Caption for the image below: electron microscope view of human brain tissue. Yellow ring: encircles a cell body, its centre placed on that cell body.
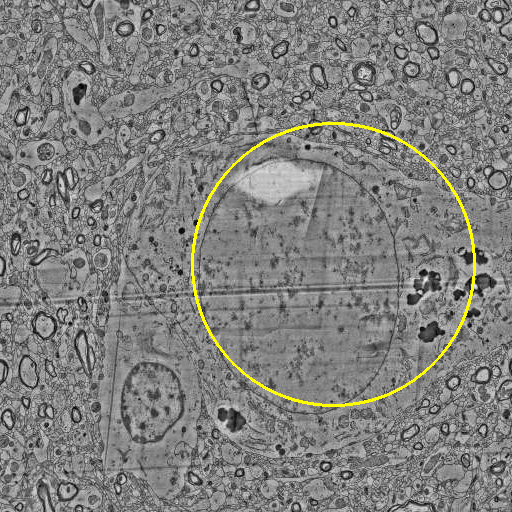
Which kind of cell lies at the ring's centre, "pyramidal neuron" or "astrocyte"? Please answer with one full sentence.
The picture shows a pyramidal neuron at the centre of the yellow ring.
